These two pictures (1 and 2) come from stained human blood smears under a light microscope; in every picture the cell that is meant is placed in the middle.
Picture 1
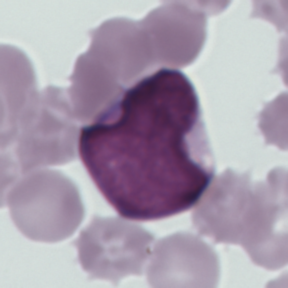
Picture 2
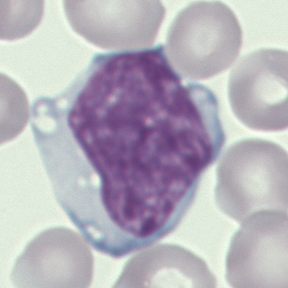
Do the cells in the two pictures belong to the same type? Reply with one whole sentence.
Yes, the two pictures both show myeloblasts.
